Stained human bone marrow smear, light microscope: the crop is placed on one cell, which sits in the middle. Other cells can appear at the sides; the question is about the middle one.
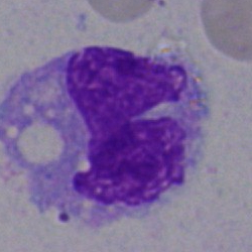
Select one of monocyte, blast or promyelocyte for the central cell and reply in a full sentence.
The crop centres on a single cell, and that cell is a monocyte.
